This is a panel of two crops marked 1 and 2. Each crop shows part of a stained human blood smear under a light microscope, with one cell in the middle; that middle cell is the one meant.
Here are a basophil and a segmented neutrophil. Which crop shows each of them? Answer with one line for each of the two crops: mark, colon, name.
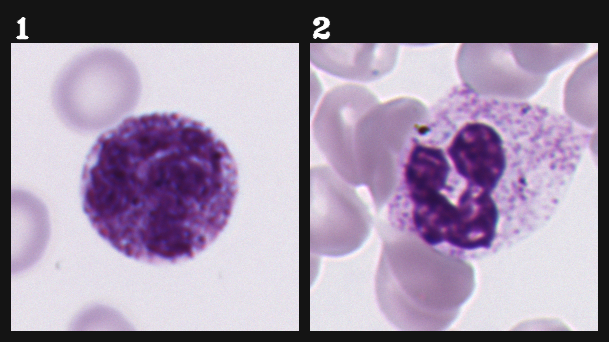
1: basophil
2: segmented neutrophil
